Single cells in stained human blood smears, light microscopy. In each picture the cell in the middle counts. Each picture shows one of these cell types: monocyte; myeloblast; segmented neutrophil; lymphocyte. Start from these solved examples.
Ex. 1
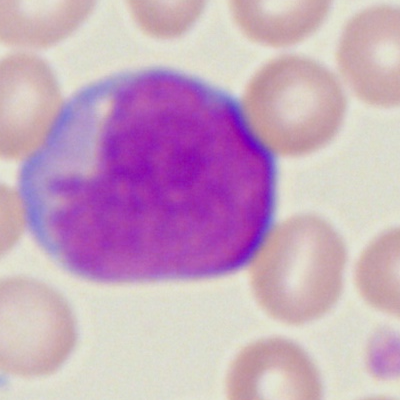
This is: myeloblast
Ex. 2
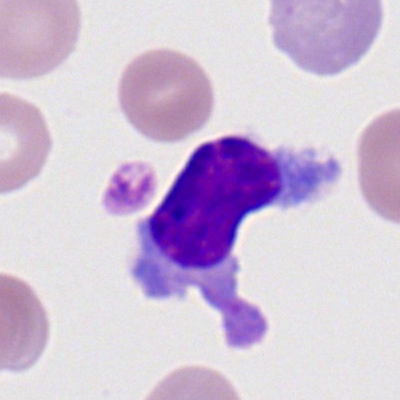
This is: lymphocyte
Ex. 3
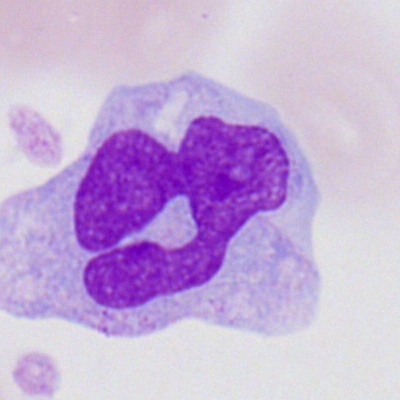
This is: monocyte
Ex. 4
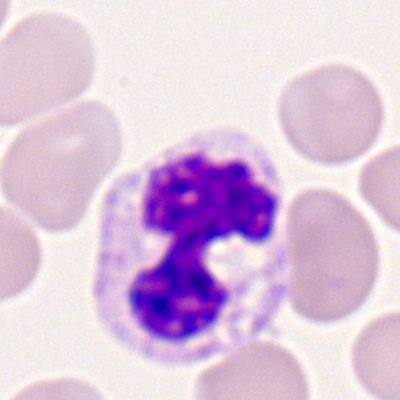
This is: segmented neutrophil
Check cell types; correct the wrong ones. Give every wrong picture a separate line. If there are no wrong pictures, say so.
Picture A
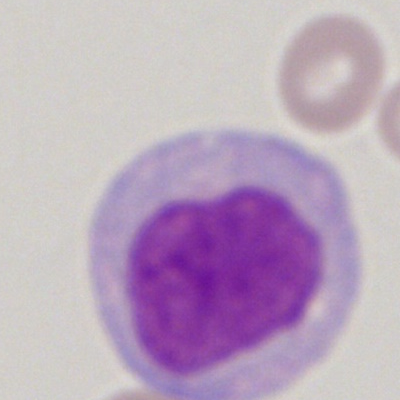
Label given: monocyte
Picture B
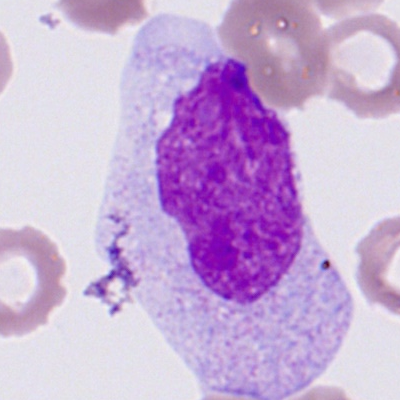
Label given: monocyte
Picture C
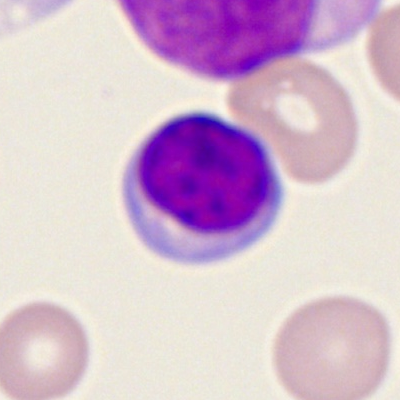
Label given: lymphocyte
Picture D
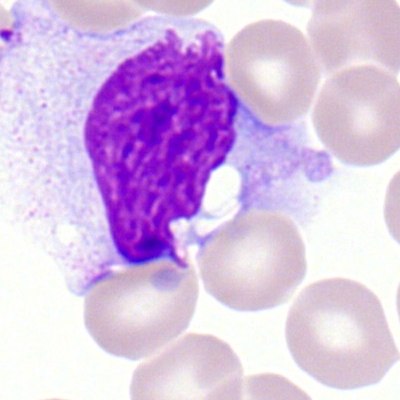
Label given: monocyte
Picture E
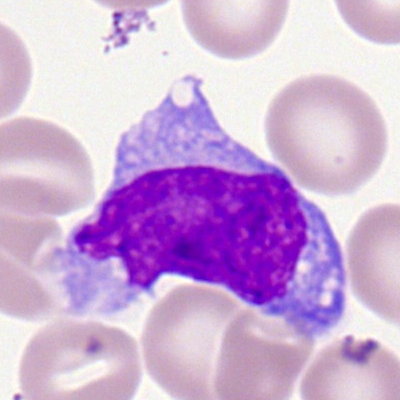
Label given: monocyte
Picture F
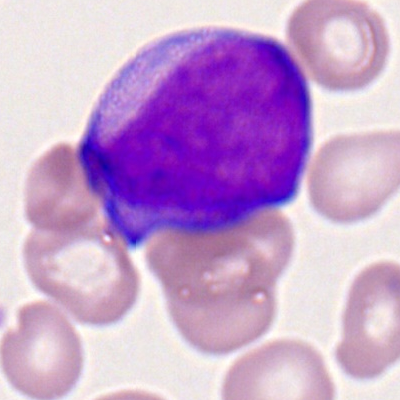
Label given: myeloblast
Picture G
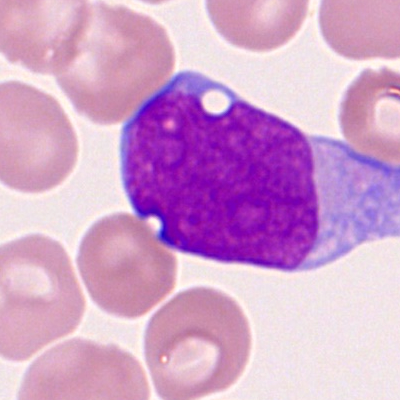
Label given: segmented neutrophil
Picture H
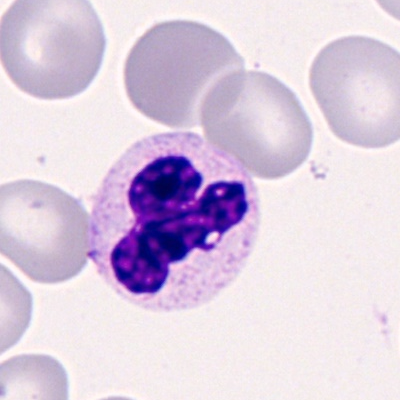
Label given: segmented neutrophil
G: not segmented neutrophil but myeloblast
